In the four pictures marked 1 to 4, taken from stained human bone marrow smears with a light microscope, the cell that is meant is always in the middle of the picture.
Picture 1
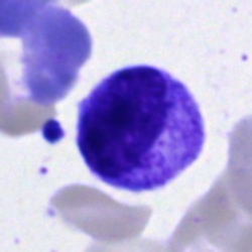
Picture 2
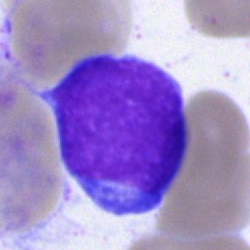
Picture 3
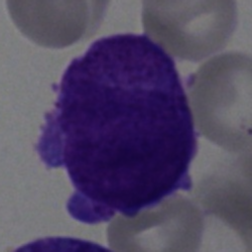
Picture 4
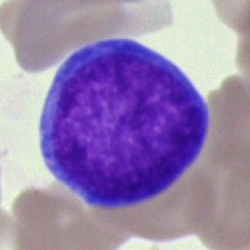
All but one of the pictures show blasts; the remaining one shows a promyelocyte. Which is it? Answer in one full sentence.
The picture with the promyelocyte is 1.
